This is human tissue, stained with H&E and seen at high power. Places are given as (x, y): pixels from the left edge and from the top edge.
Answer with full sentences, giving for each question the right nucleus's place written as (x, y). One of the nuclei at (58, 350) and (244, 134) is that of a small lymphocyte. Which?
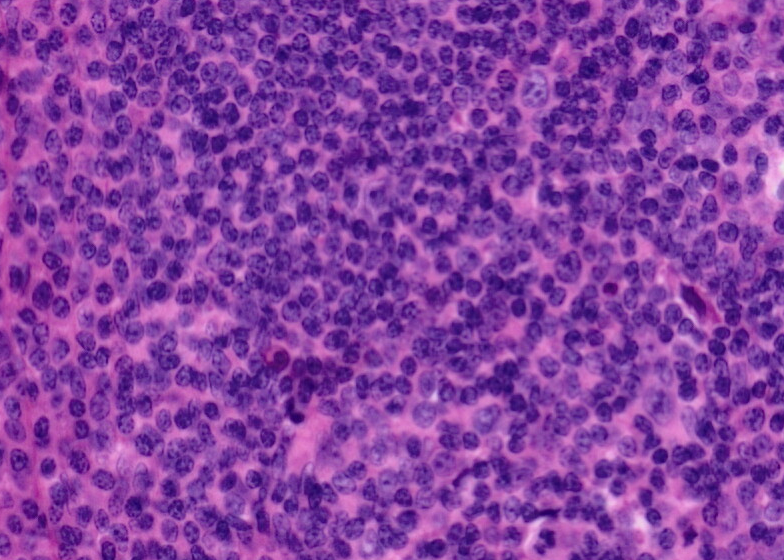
The pair contains one nucleus of a small lymphocyte, namely the one at (244, 134).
